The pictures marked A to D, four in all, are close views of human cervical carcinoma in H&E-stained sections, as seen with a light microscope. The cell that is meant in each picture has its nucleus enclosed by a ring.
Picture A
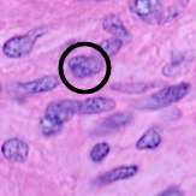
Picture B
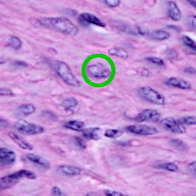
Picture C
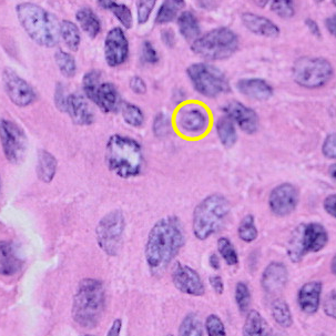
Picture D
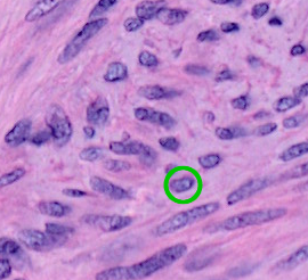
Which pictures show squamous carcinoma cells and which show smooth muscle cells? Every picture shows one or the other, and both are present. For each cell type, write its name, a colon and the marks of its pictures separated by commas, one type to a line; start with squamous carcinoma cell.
squamous carcinoma cell: C
smooth muscle cell: A, B, D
